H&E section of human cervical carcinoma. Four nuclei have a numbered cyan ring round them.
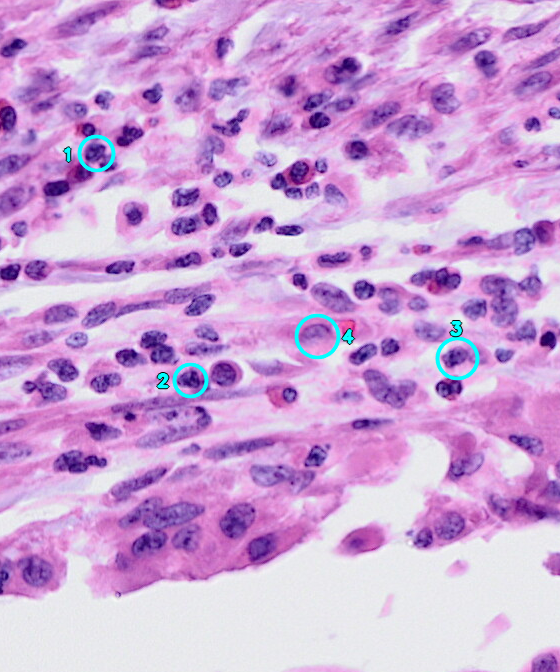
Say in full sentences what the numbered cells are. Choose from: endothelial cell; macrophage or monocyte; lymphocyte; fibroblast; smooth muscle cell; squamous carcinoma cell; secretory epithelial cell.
Cell 1 is a lymphocyte, cell 2 is a lymphocyte, cell 3 is a lymphocyte and cell 4 is an endothelial cell.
